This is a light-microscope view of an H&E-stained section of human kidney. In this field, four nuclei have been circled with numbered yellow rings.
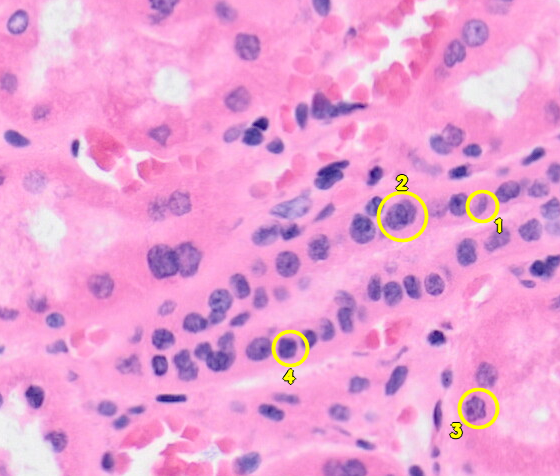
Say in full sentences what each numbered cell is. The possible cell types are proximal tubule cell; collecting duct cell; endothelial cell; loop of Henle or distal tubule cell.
Cell 1 is a collecting duct cell, cell 2 is a collecting duct cell, cell 3 is a proximal tubule cell and cell 4 is a collecting duct cell.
